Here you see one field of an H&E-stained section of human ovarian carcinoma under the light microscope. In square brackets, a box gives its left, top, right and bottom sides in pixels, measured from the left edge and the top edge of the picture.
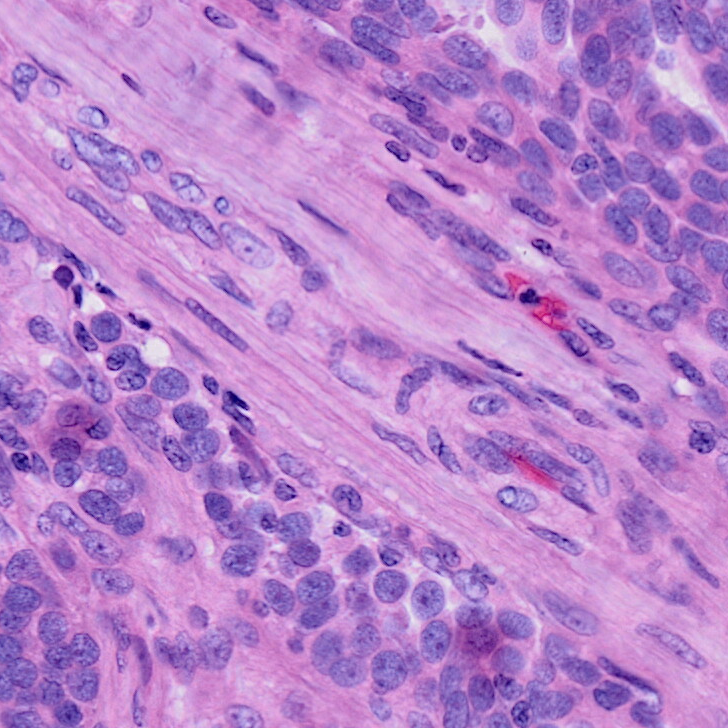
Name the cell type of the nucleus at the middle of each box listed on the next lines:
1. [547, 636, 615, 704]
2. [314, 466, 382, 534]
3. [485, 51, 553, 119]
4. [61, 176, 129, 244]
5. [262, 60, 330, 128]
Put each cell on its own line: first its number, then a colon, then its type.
1: carcinoma cell
2: macrophage or monocyte
3: carcinoma cell
4: fibroblast
5: fibroblast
